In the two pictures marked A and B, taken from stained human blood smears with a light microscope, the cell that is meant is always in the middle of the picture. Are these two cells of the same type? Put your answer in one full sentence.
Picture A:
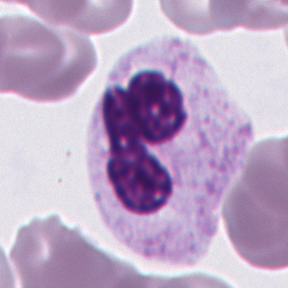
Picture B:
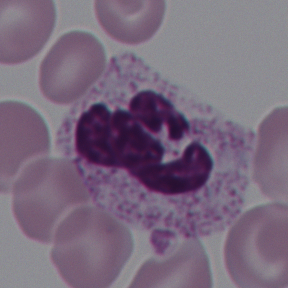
Yes; the cells in both pictures are segmented neutrophils.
